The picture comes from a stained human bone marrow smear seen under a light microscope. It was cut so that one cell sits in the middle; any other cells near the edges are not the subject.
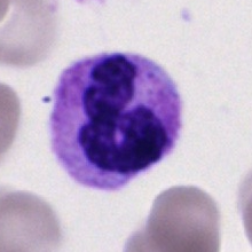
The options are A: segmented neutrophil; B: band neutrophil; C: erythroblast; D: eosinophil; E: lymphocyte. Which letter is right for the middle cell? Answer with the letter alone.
A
